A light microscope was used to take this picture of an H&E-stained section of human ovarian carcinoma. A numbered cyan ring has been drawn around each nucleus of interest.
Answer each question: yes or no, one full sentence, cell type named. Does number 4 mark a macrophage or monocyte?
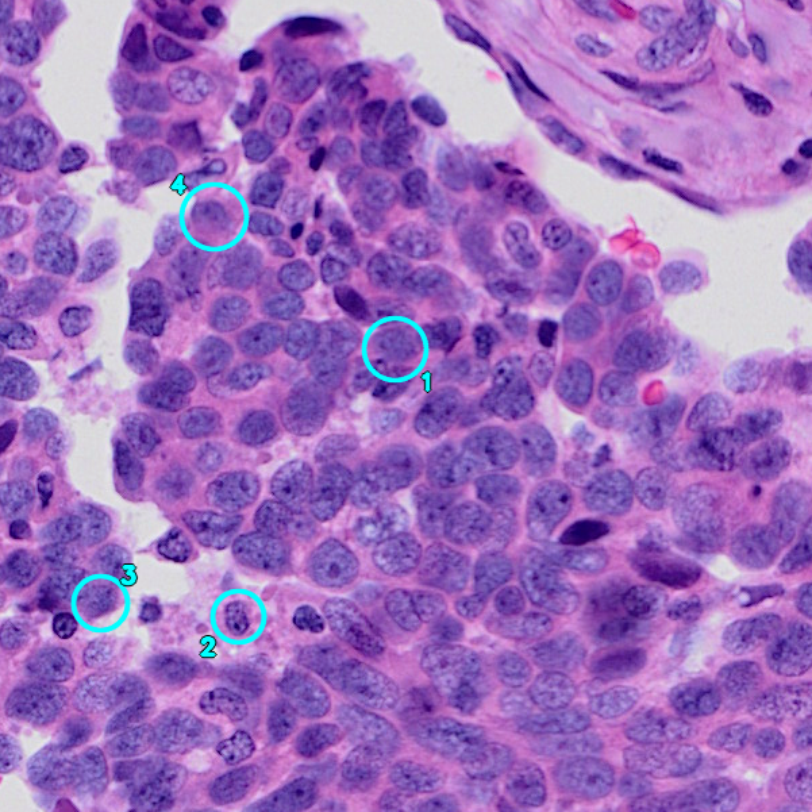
No, with respect, cell 4 is a carcinoma cell rather than a macrophage or monocyte.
